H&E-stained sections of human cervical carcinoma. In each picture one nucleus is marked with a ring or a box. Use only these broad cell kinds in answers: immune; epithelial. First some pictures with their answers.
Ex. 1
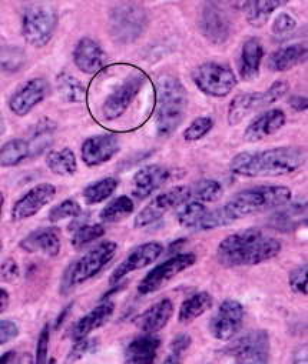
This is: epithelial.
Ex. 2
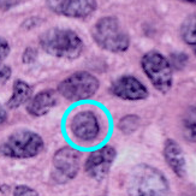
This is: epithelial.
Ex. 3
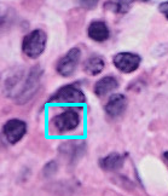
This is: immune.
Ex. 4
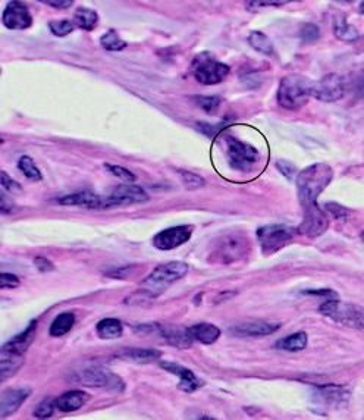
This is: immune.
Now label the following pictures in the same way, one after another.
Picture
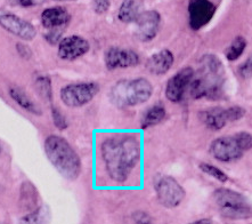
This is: epithelial.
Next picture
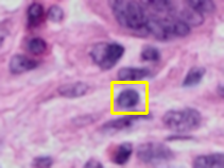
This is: immune.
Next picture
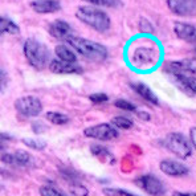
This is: epithelial.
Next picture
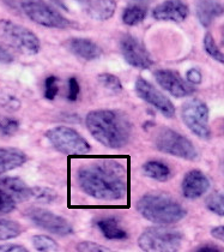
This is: epithelial.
